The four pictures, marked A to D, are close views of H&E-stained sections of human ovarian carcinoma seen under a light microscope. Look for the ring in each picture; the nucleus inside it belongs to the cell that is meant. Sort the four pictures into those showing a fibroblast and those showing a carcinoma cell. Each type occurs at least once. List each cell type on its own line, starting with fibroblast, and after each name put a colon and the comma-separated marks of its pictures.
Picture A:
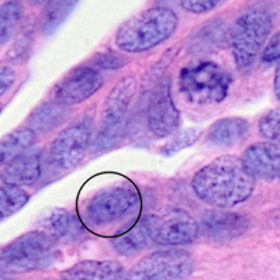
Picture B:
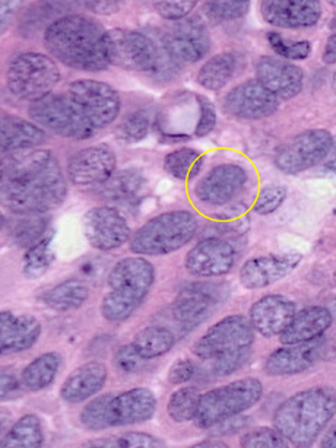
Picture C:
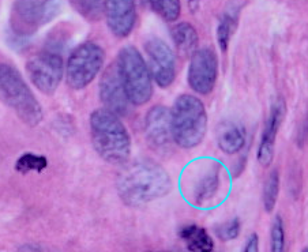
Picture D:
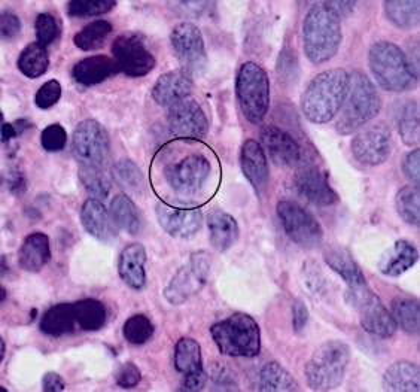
fibroblast: C
carcinoma cell: A, B, D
